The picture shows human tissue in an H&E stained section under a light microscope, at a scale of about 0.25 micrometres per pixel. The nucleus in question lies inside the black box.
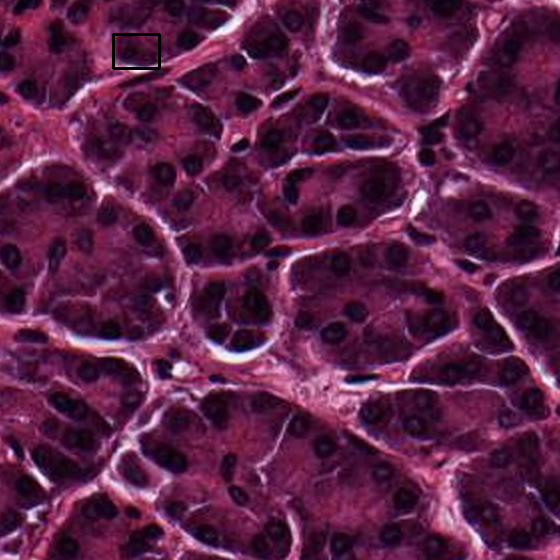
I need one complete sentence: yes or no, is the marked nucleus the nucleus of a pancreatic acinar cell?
Yes, the marked nucleus is part of a pancreatic acinar cell.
